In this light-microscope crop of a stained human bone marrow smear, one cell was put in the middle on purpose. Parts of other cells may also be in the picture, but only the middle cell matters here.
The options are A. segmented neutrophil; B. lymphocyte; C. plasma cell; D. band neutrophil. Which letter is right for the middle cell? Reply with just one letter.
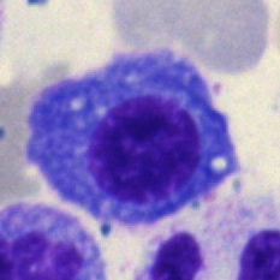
C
